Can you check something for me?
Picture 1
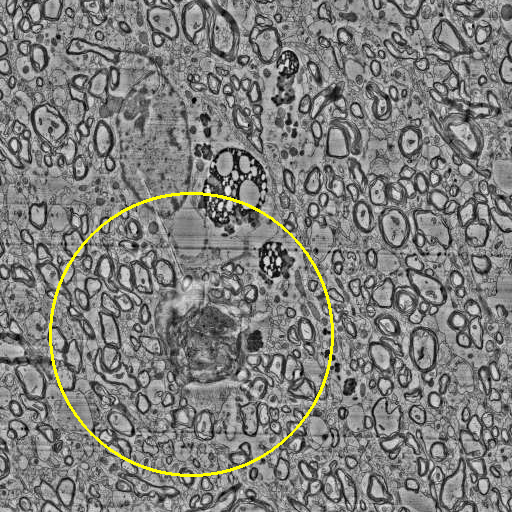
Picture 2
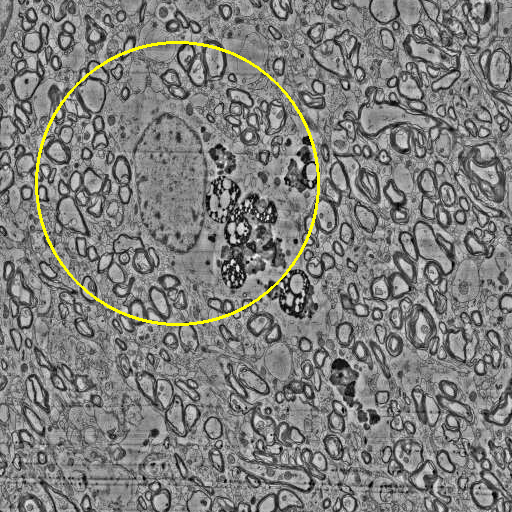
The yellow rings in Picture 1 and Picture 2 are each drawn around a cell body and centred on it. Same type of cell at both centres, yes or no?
no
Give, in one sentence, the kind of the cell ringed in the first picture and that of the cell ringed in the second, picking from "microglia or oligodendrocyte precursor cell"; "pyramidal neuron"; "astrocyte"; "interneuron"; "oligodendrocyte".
For the first picture it is an oligodendrocyte; for the second, an astrocyte.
